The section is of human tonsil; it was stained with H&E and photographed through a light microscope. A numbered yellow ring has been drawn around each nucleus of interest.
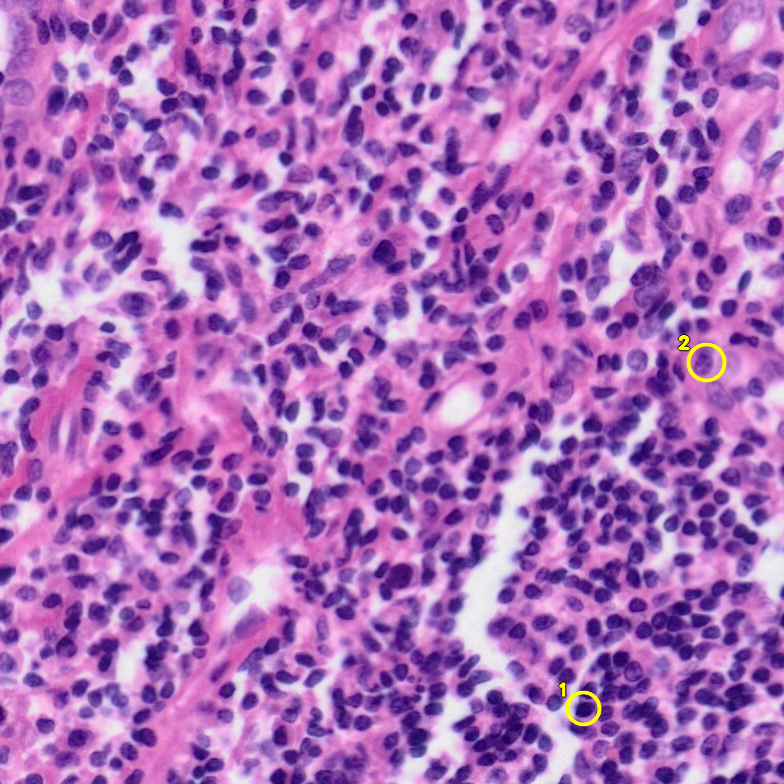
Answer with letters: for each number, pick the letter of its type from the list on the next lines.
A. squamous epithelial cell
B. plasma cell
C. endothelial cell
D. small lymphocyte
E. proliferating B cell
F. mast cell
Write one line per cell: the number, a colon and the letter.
1: D
2: C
